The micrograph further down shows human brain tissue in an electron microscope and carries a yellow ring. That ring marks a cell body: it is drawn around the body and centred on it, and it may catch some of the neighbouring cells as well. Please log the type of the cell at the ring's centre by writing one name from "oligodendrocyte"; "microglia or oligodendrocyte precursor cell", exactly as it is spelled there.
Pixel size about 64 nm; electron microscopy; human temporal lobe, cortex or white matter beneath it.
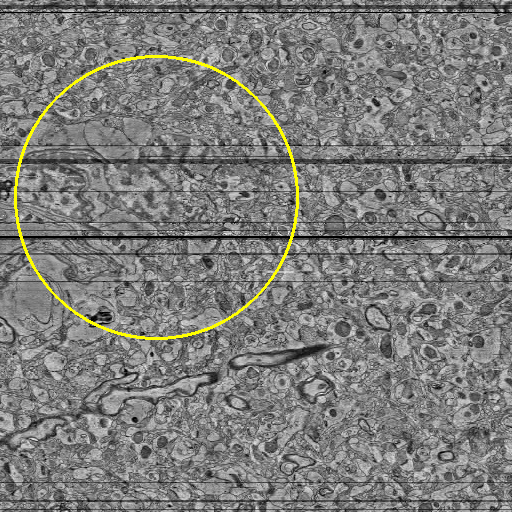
oligodendrocyte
